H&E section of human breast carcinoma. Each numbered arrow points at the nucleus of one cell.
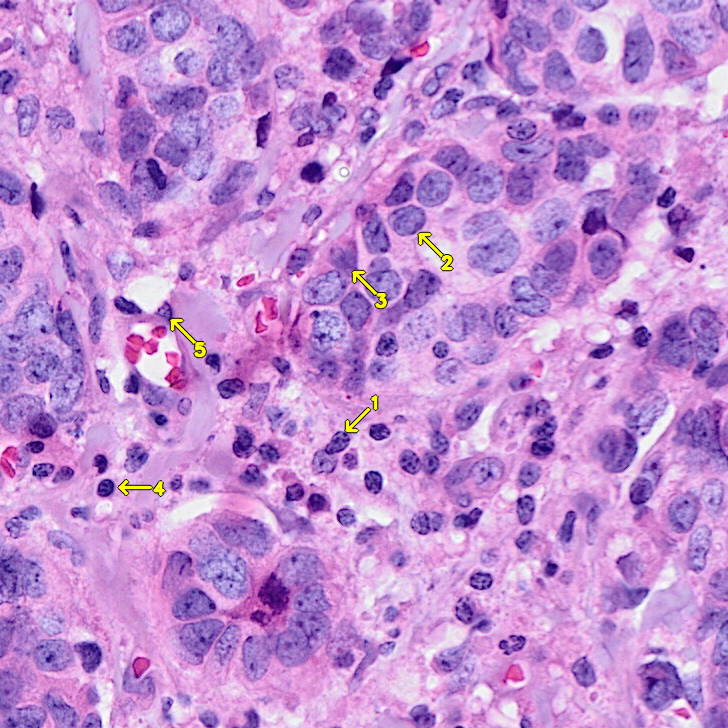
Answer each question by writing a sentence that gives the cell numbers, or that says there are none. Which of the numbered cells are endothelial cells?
Just the cell marked 5 is an endothelial cell; none of the other marked cells is.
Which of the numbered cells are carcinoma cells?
Classified as carcinoma cells are the cells numbered 2 and 3.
